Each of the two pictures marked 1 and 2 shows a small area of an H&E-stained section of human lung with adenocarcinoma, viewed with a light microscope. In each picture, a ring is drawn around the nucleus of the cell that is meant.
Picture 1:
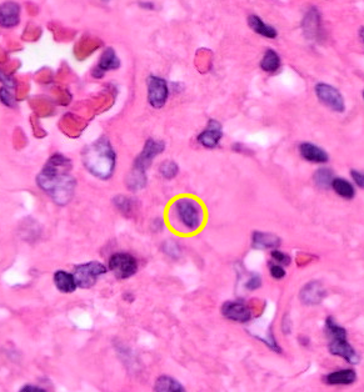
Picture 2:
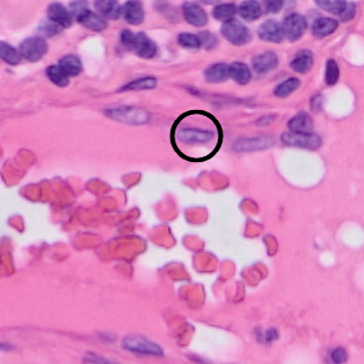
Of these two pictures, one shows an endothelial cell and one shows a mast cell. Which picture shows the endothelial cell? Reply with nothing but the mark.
2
